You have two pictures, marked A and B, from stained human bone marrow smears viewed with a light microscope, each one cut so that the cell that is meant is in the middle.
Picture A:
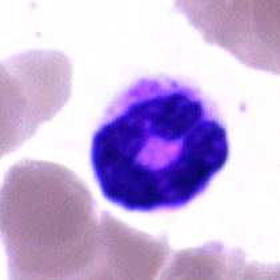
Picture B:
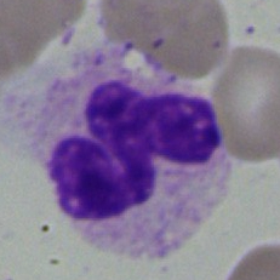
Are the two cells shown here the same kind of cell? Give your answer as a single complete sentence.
Yes; the cells in both pictures are segmented neutrophils.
